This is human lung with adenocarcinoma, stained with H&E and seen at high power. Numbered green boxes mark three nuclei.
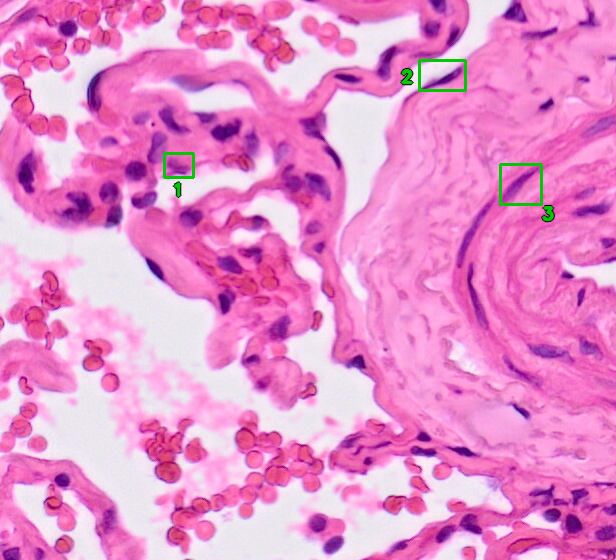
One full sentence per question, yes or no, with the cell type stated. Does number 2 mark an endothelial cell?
Yes, an endothelial cell is what the cell numbered 2 is.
